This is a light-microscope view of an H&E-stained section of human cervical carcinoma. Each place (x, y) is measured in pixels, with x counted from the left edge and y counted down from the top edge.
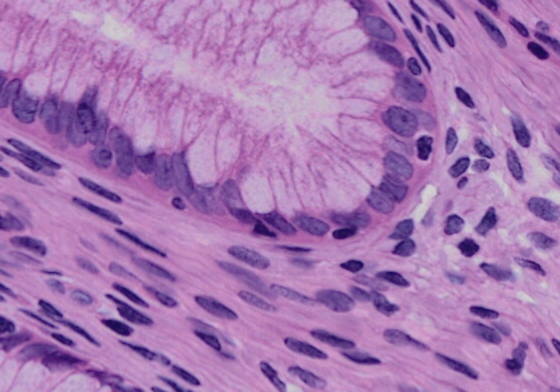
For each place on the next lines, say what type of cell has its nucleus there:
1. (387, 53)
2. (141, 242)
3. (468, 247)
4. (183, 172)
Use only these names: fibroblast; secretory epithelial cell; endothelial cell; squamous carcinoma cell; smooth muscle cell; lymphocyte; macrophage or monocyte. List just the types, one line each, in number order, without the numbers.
secretory epithelial cell
fibroblast
lymphocyte
secretory epithelial cell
